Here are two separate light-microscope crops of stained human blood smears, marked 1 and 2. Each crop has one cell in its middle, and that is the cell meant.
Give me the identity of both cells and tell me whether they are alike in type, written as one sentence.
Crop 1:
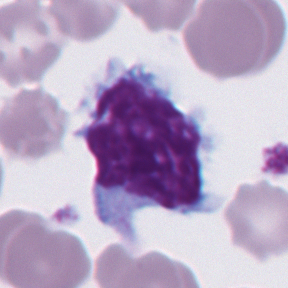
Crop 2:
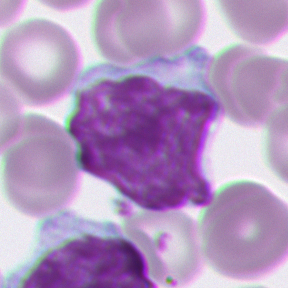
Yes, in both of the crops, the central cells are lymphocytes.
